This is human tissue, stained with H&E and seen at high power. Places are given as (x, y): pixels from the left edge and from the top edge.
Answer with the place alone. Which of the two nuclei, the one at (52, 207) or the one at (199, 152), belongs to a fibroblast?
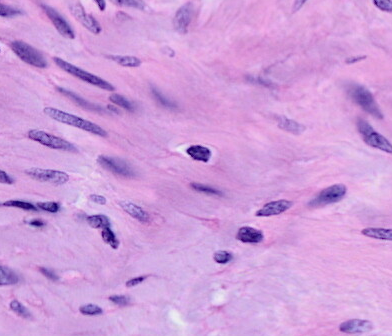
(52, 207)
